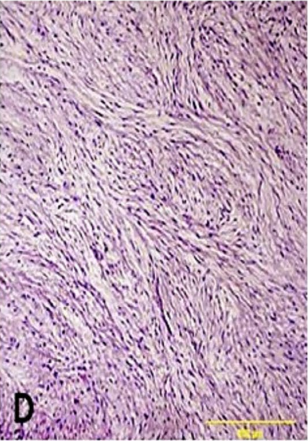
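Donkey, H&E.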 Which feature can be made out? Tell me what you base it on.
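Bundles of spindle cells run in sweeping, wavy streams. Streams cross one another at different angles.
Streaming and interlacing.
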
